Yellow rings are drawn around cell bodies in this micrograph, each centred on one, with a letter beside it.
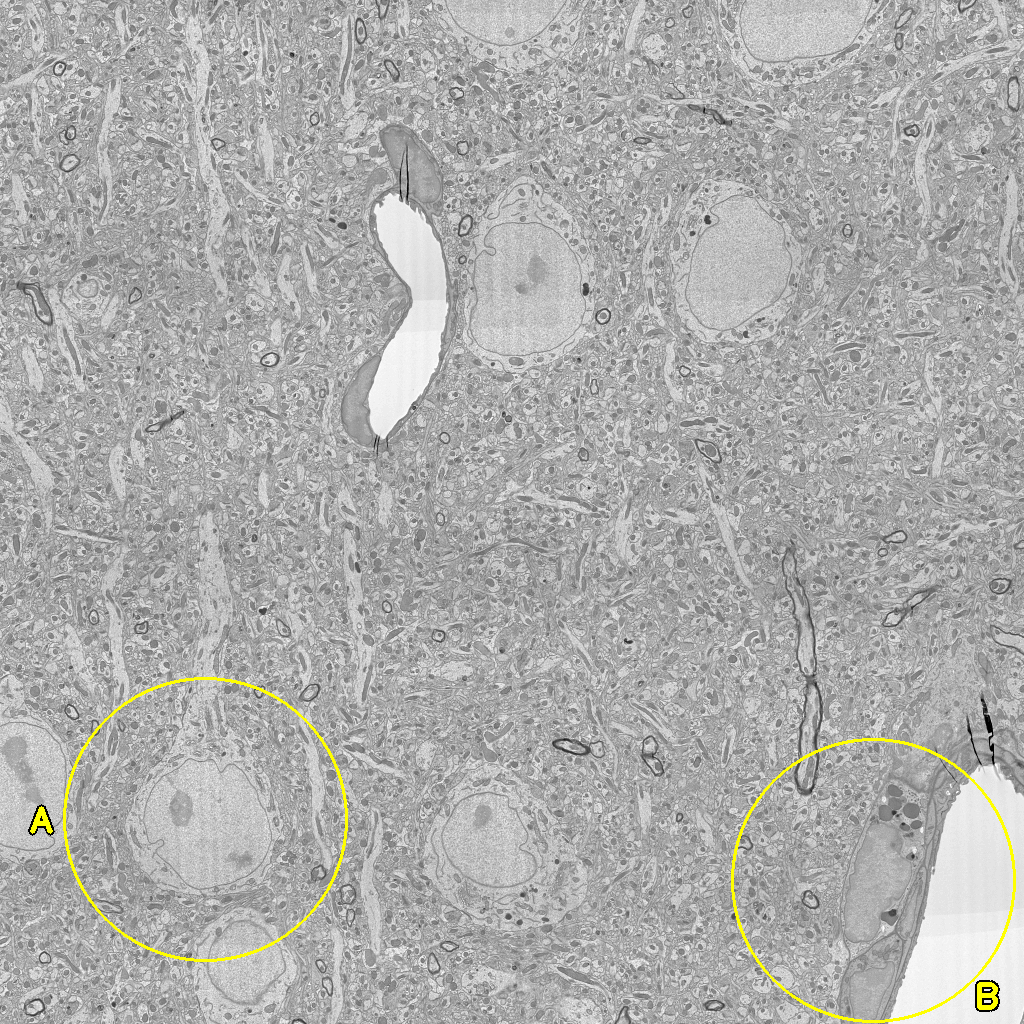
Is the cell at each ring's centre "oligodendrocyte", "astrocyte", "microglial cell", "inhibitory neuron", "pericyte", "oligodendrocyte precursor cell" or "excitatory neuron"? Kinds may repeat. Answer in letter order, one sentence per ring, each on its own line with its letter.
In ring A, the cell at the centre is an excitatory neuron.
In ring B, the cell at the centre is a microglial cell.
